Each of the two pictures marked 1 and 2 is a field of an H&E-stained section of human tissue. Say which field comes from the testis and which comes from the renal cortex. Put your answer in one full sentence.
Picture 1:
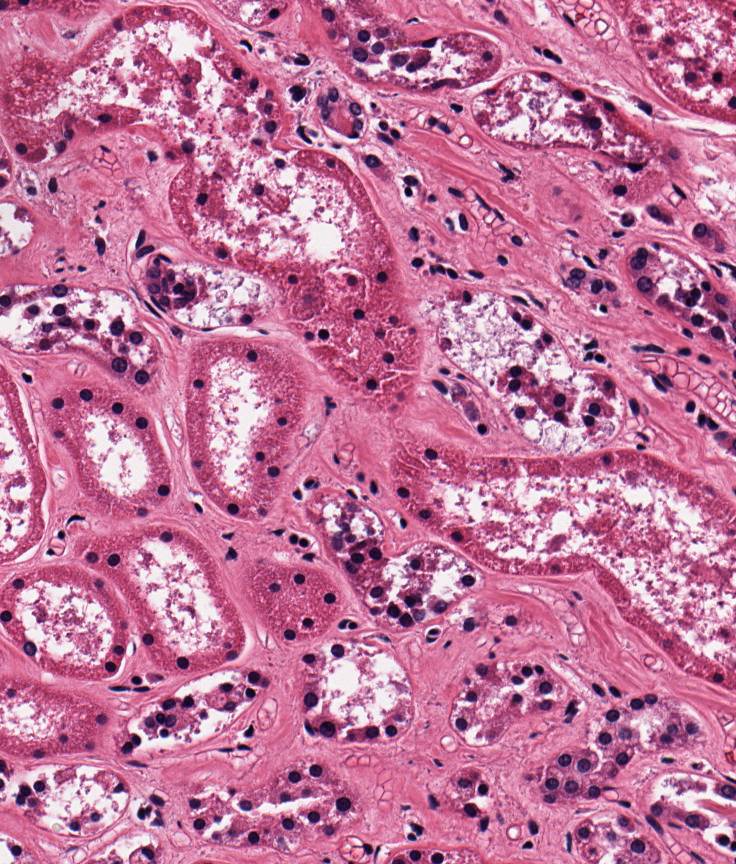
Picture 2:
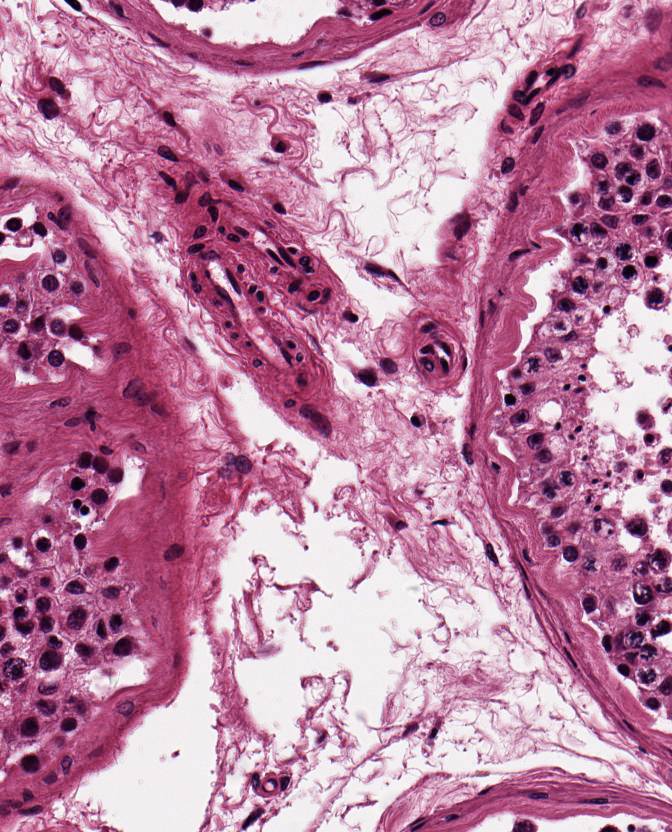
Picture 1 comes from the renal cortex and picture 2 comes from the testis.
